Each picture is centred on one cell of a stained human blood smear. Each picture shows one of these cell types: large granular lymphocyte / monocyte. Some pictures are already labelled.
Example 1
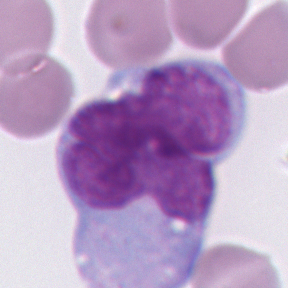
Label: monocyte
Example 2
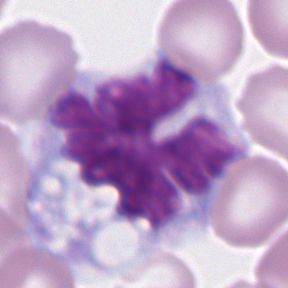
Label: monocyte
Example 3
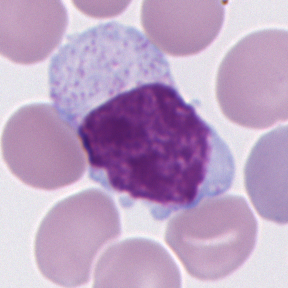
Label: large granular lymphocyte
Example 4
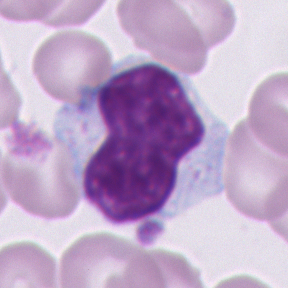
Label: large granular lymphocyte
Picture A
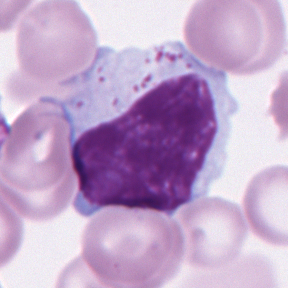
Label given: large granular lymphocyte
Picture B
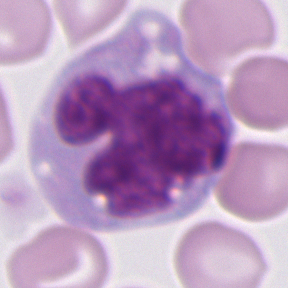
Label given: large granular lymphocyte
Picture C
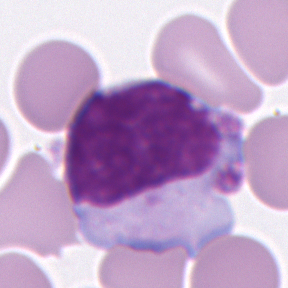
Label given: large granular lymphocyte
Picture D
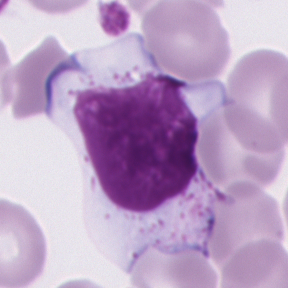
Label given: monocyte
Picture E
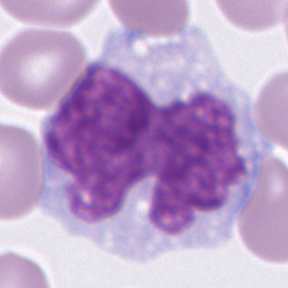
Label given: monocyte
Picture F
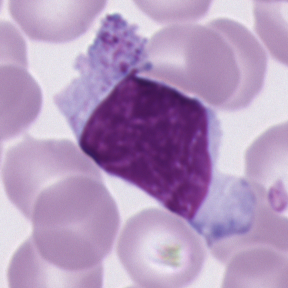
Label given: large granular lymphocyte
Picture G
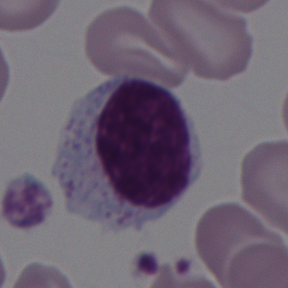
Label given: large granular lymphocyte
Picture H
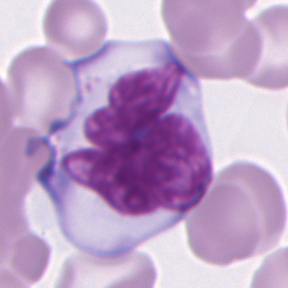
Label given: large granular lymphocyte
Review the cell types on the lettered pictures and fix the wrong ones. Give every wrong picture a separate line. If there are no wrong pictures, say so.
B: not large granular lymphocyte but monocyte
D: not monocyte but large granular lymphocyte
